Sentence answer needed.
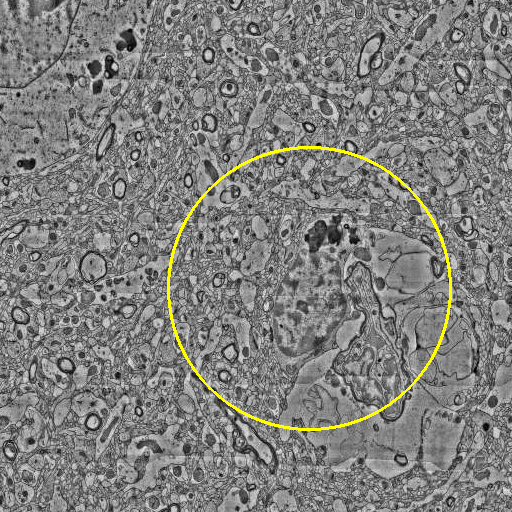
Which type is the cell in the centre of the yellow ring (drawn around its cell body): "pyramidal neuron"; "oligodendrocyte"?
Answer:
In the centre of the yellow ring is an oligodendrocyte.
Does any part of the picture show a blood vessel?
Yes.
